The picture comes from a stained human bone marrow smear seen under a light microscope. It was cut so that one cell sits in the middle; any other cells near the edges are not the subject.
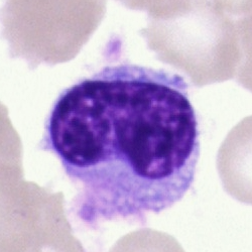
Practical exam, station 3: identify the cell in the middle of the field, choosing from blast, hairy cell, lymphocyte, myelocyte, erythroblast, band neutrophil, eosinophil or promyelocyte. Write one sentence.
The cell in the middle of this crop is a hairy cell.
